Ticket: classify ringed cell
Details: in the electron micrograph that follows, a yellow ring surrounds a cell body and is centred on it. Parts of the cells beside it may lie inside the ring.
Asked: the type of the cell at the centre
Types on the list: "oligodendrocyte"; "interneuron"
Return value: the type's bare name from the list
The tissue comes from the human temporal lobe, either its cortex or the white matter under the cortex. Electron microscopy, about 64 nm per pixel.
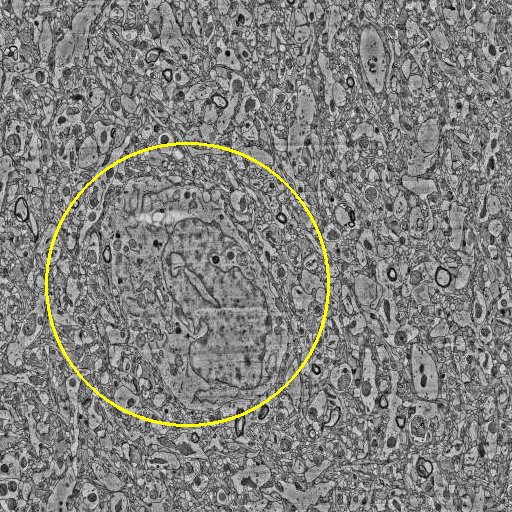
interneuron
